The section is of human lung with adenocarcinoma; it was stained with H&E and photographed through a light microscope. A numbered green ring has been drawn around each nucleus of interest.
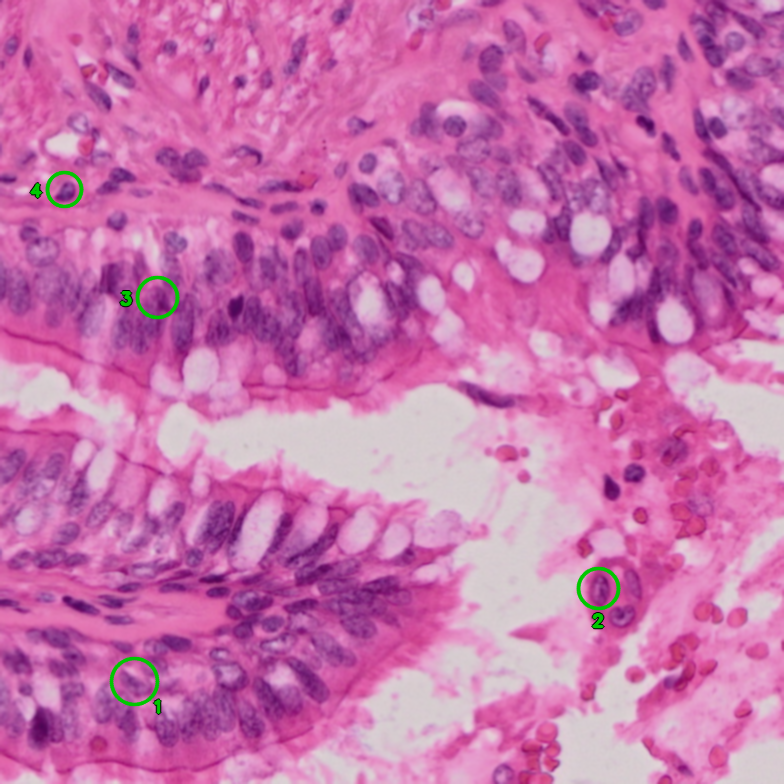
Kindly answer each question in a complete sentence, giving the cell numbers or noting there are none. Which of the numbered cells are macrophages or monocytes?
The numbered cells include exactly one that is a macrophage or monocyte, which is cell 2.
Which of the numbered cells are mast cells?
Only the cell marked 4 is a mast cell.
